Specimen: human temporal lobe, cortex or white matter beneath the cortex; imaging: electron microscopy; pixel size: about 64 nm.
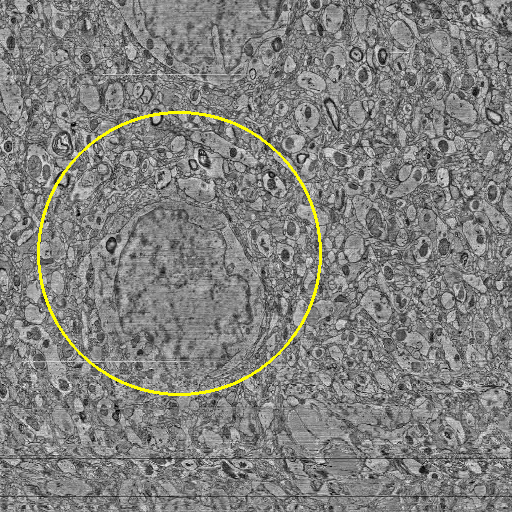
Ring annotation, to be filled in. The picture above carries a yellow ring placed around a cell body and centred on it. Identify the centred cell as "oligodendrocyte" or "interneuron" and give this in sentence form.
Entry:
The cell in the middle of the ring is an interneuron.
